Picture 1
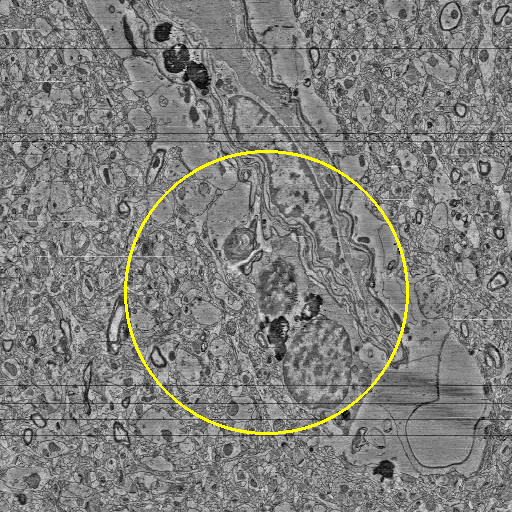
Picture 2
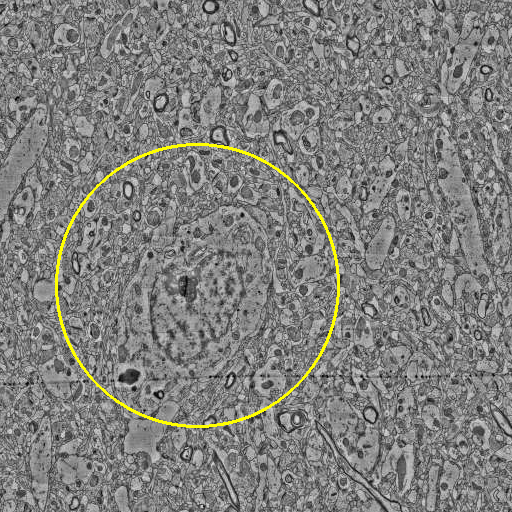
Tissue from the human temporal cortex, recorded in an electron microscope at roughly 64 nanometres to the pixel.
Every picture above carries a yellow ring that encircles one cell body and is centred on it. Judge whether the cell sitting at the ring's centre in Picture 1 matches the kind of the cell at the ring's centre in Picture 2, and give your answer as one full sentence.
No, the cells centred in the rings of Pictures 1 and 2 belong to two kinds.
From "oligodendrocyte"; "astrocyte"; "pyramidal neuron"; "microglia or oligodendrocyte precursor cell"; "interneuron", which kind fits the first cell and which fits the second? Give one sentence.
The cell marked in the first picture is an oligodendrocyte, and the one marked in the second is an interneuron.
